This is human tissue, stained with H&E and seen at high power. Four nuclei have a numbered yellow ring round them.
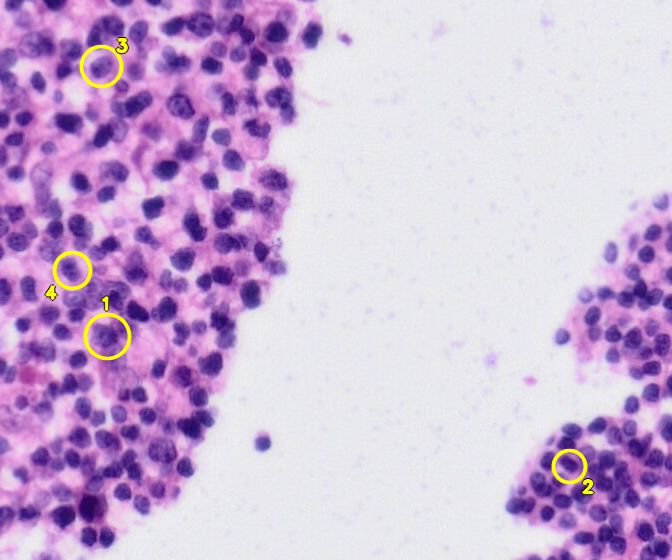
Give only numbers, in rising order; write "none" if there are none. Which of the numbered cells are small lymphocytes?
2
